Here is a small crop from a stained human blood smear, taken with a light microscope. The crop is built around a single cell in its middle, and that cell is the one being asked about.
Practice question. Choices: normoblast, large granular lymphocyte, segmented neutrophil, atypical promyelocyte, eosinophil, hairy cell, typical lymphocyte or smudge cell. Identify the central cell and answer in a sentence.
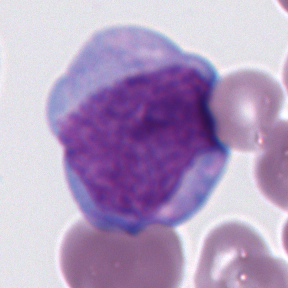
The cell around which this crop is centred is an atypical promyelocyte.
